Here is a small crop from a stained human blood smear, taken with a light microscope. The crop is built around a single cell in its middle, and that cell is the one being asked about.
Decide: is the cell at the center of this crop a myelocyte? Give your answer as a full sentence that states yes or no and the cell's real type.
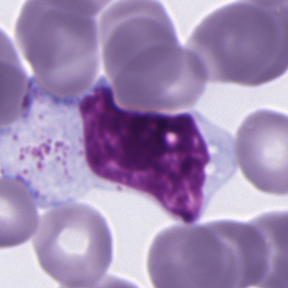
No, at the middle of the crop is a large granular lymphocyte, not a myelocyte.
